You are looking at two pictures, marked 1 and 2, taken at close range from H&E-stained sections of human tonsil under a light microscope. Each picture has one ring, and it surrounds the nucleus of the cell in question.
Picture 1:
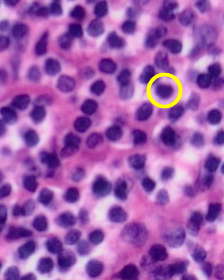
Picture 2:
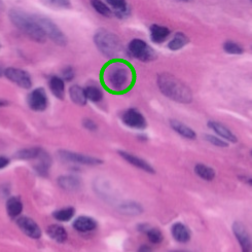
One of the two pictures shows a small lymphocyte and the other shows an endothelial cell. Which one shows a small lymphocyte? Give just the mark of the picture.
1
